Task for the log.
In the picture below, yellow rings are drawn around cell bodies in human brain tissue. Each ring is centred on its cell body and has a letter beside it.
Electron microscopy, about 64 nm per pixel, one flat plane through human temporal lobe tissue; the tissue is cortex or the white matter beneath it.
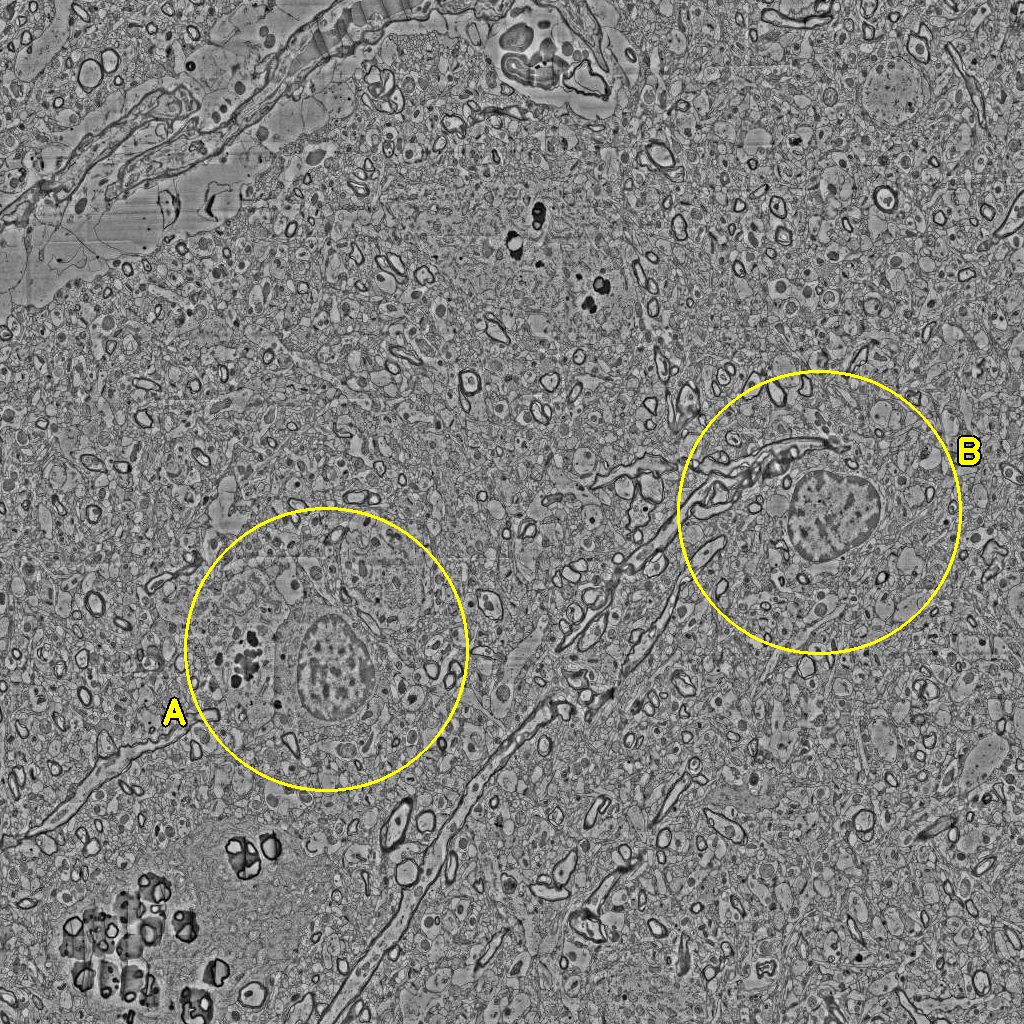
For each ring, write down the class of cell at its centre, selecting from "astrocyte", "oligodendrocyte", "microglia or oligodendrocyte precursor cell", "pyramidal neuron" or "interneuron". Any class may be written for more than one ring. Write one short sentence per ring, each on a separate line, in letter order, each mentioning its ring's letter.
The cell inside ring A, at its centre, is an oligodendrocyte.
The cell inside ring B, at its centre, is a microglial cell or oligodendrocyte precursor cell.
